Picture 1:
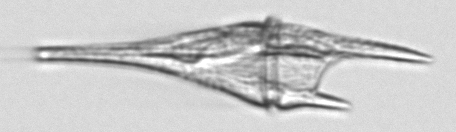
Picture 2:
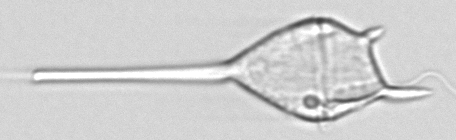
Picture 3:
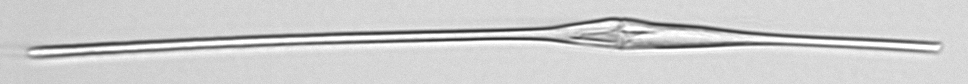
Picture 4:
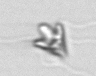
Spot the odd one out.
Picture 4 (Pyramimonas among Tripos).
